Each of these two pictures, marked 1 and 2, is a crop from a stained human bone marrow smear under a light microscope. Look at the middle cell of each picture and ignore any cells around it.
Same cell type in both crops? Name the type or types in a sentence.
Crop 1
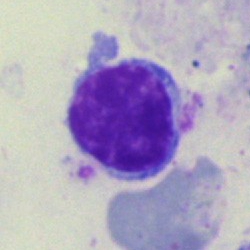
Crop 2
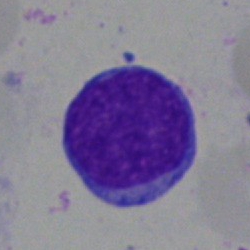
Yes, the centre cells of both crops are lymphocytes.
